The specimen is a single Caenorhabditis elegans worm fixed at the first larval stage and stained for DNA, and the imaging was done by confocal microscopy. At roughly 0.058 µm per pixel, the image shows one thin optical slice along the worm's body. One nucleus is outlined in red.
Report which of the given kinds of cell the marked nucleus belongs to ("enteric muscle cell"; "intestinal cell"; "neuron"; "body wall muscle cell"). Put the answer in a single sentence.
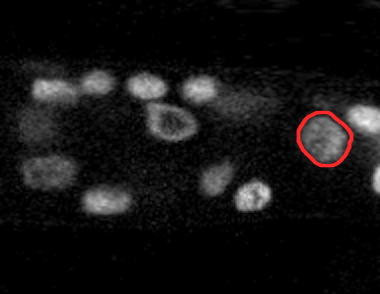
The marked nucleus is that of an enteric muscle cell.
